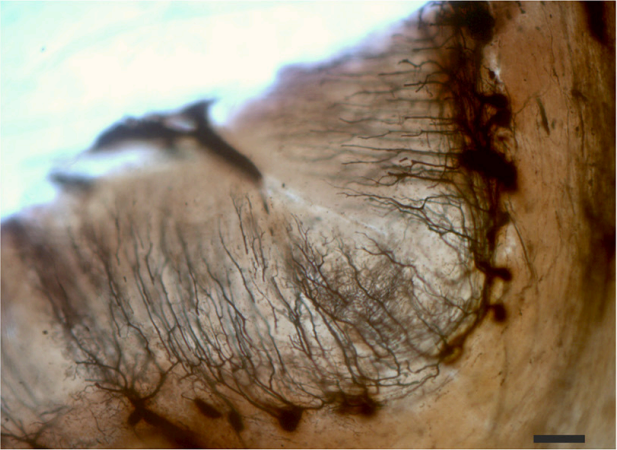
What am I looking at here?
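A curved fold of cerebellar cortex shows a row of dark-impregnated Purkinje cells. Their cell bodies lie lined up along the bottom and right edge of the fold. From each cell body, long dendritic branches run in nearly parallel course toward the pale outer surface, forming a dense, comb-like palisade. The arbors of neighbouring cells overlap and fill the outer layer with fine brown fibres, while the surrounding tissue is amber and otherwise unstained.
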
